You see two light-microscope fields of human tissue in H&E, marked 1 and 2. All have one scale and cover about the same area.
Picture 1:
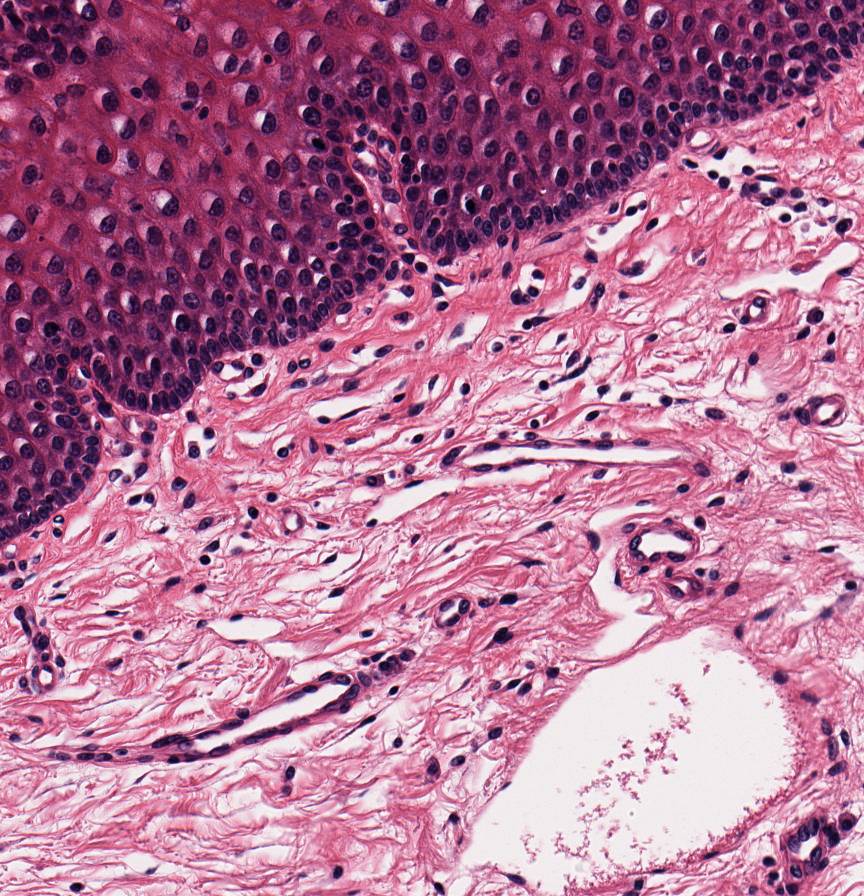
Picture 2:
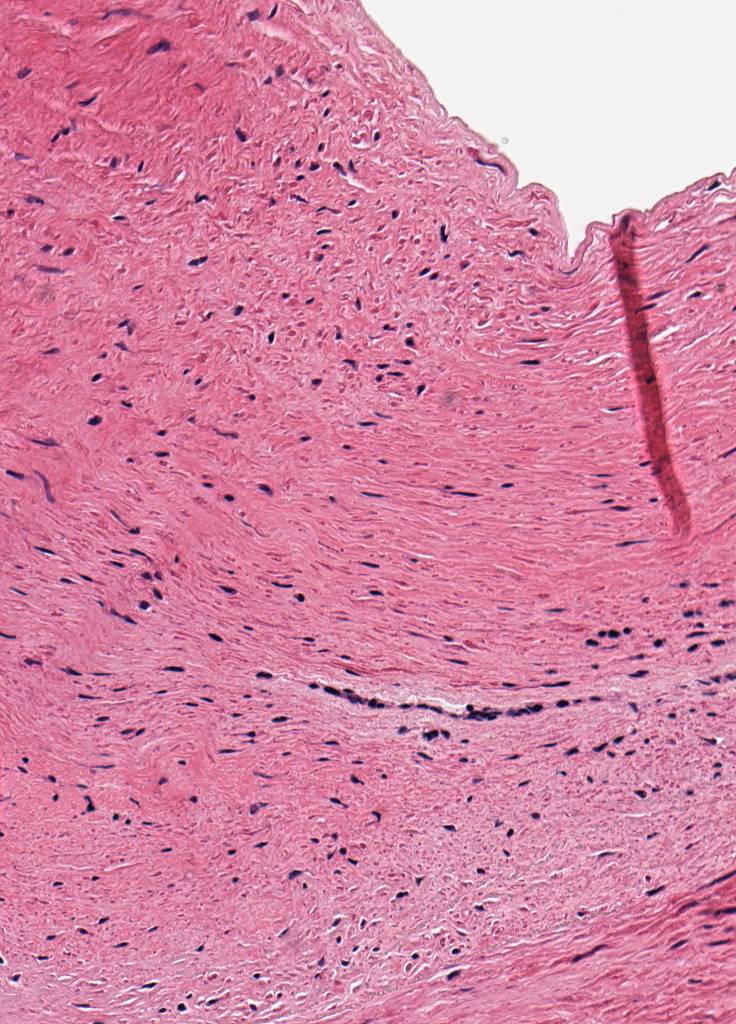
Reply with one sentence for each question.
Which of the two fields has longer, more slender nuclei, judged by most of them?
The nuclei are more elongated in picture 2.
